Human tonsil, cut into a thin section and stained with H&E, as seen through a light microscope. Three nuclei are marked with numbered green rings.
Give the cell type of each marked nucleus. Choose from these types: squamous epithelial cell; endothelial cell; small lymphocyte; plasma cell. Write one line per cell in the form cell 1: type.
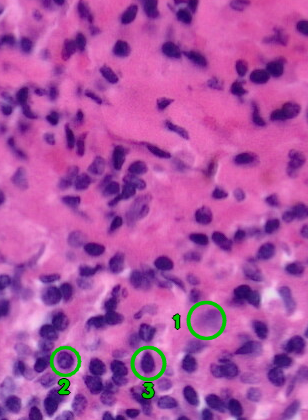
cell 1: endothelial cell
cell 2: plasma cell
cell 3: plasma cell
